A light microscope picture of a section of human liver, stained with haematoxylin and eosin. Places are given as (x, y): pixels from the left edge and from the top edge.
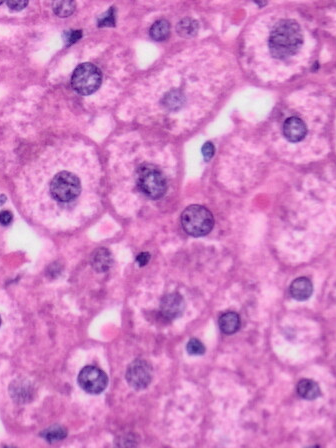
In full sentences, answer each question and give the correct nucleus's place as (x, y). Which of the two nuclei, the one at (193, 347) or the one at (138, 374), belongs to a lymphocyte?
Of the two nuclei, it is the one at (193, 347) that lies within a lymphocyte.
